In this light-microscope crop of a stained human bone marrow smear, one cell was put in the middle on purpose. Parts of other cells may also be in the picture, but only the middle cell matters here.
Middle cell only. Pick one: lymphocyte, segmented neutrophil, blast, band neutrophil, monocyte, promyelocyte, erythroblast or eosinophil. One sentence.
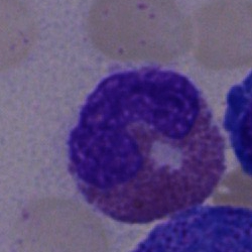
The middle position in this crop is taken by an eosinophil.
